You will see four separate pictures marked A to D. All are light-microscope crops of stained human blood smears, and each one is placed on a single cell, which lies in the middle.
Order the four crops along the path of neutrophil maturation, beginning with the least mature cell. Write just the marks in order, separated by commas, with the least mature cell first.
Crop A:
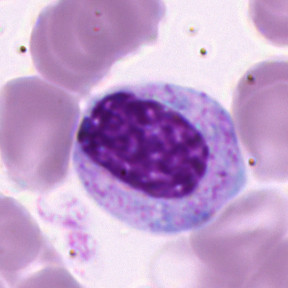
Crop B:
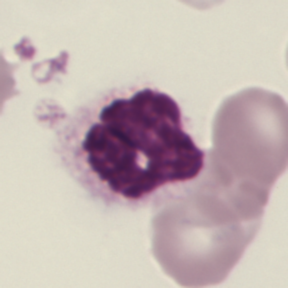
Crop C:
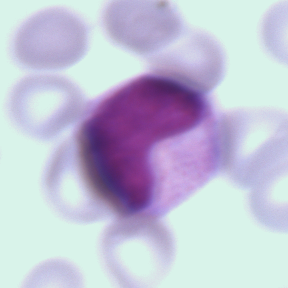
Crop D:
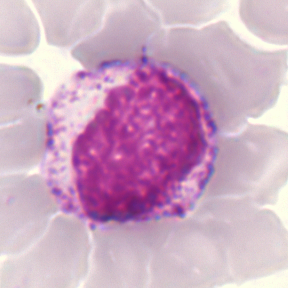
D, A, C, B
